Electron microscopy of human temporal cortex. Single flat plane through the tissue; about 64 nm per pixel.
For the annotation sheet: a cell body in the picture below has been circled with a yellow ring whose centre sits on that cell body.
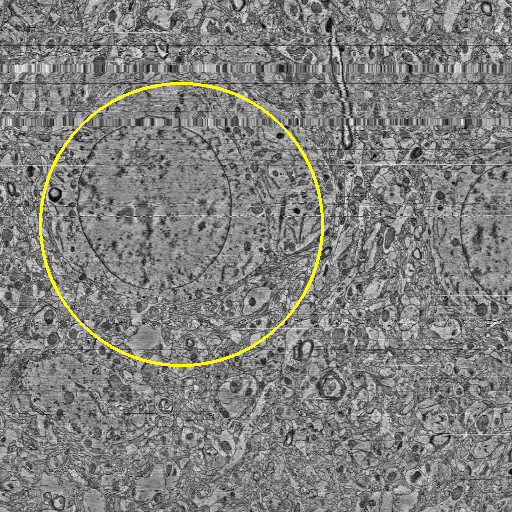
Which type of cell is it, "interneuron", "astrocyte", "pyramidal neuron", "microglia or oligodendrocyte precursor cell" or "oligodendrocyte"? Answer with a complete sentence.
The circled cell is a pyramidal neuron.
